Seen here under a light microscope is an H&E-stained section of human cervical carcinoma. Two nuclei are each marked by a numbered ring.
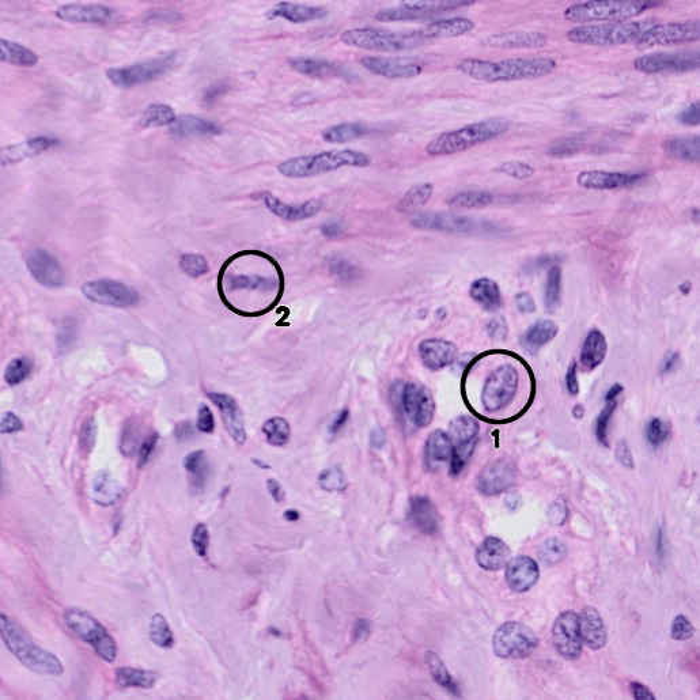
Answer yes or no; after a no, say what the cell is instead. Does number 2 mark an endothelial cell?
No, it is a fibroblast.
